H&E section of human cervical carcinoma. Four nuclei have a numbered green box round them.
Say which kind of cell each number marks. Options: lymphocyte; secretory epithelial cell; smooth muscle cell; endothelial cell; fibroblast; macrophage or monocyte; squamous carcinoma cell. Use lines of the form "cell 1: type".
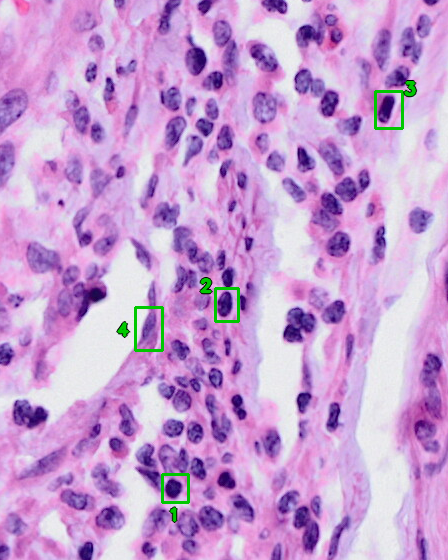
cell 1: lymphocyte
cell 2: lymphocyte
cell 3: lymphocyte
cell 4: endothelial cell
